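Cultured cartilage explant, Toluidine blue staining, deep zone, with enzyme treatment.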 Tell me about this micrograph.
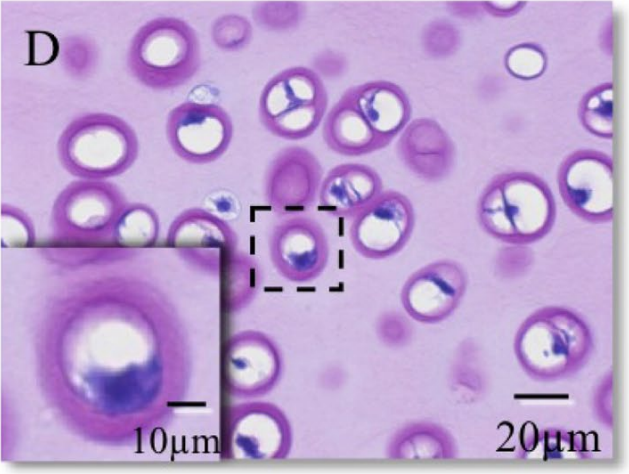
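The background matrix is a pale pinkish purple, while each lacuna is ringed by a darker purple rim of matrix. The enlarged view shows a single cell crowded at the edge of its lacuna inside a thick purple halo, with no cell lying outside it.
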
